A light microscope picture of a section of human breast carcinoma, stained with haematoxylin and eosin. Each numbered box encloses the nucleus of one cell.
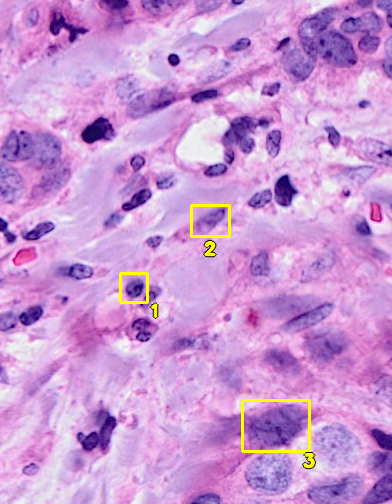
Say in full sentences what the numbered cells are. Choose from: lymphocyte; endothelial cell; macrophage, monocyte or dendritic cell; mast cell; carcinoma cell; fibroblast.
Cell 1 is a lymphocyte, cell 2 is a fibroblast and cell 3 is a carcinoma cell.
